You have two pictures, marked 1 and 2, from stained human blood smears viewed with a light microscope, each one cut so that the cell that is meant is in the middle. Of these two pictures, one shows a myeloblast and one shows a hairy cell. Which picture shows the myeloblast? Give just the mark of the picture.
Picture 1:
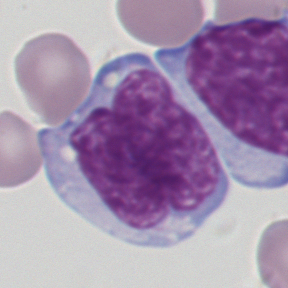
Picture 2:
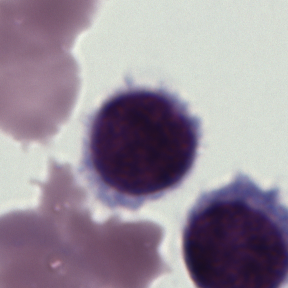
1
